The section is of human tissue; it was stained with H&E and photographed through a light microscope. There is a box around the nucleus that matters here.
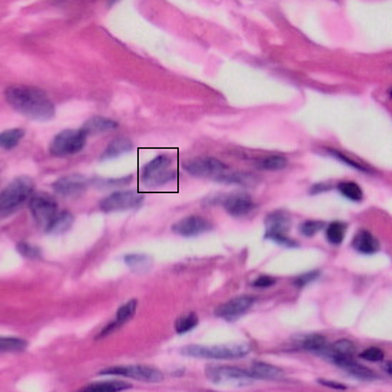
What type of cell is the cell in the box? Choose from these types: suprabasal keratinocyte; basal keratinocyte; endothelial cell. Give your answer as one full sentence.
The cell type of the cell in the box is that of an endothelial cell.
